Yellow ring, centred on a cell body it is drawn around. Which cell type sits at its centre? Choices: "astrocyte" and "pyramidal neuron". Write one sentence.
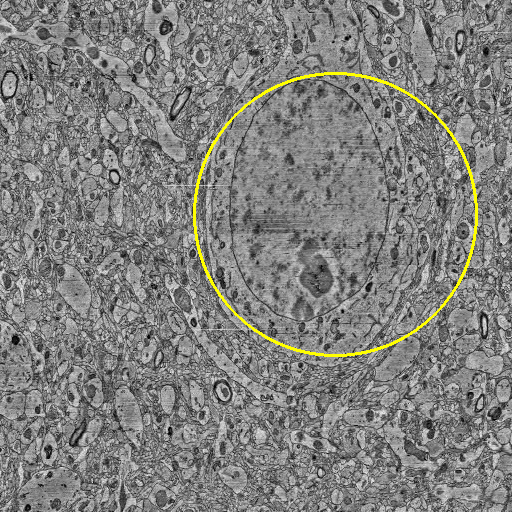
At the centre of the ring sits a pyramidal neuron.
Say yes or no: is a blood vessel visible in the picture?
No.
